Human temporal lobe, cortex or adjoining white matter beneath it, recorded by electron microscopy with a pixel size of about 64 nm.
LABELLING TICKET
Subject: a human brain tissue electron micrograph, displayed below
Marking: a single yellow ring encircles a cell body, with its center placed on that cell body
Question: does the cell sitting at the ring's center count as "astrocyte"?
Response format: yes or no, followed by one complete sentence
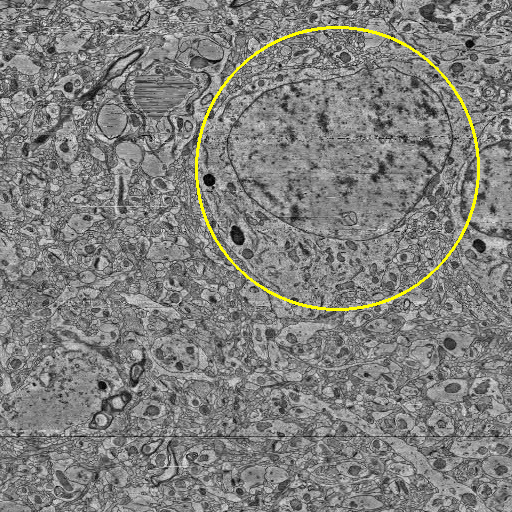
No, the cell at the center of the ring in the picture belongs to another kind.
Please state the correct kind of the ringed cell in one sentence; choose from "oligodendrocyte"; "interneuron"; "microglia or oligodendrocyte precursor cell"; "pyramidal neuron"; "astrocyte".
Instead, the ring surrounds a pyramidal neuron in this picture.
